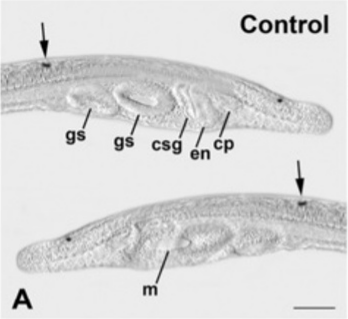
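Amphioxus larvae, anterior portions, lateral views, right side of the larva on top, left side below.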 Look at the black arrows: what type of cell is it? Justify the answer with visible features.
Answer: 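The arrows point to a single small dark pigment spot. The spot lies in the dorsal neural tube, well behind the anterior tip.
First photoreceptor and associated pigment cell.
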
